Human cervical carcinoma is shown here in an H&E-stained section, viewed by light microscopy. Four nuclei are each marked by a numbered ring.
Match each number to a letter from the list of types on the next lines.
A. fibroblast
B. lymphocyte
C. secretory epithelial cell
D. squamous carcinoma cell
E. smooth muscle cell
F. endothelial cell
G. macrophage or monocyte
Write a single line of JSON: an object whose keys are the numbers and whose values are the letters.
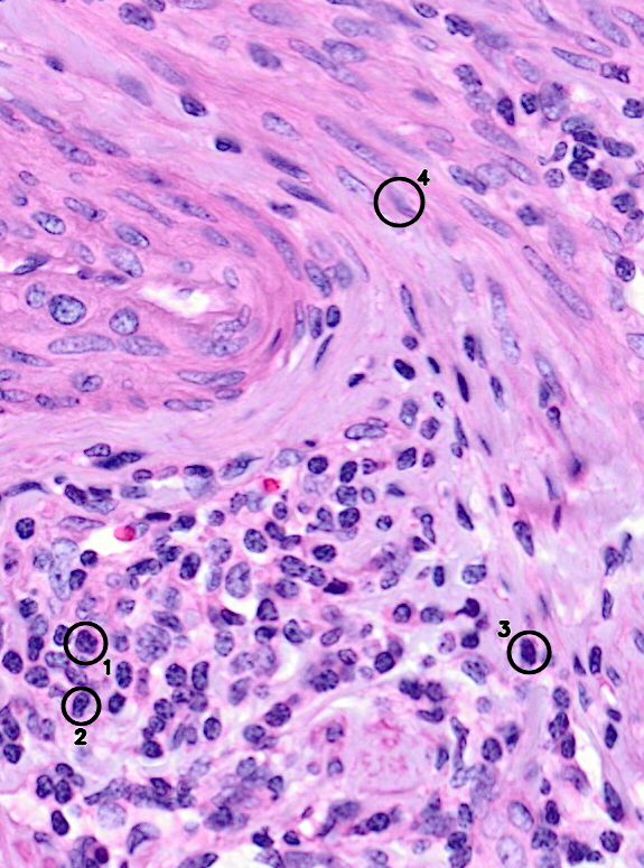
{"1": "B", "2": "B", "3": "B", "4": "E"}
